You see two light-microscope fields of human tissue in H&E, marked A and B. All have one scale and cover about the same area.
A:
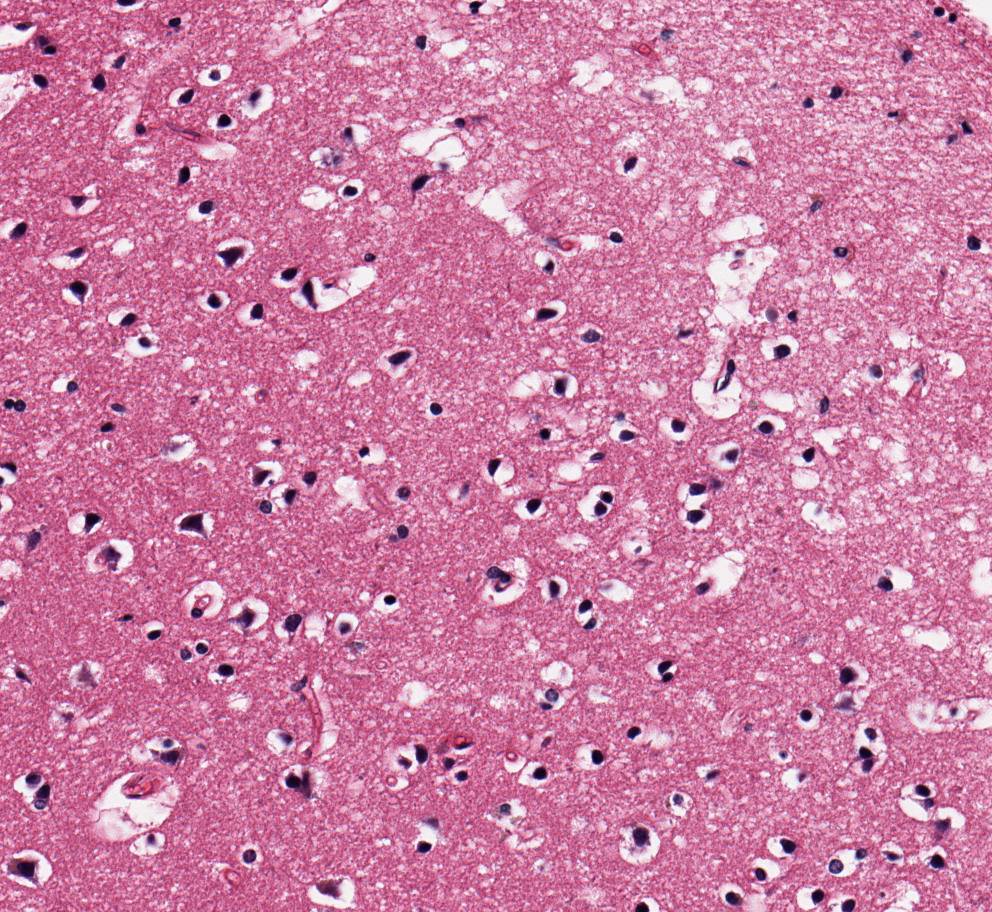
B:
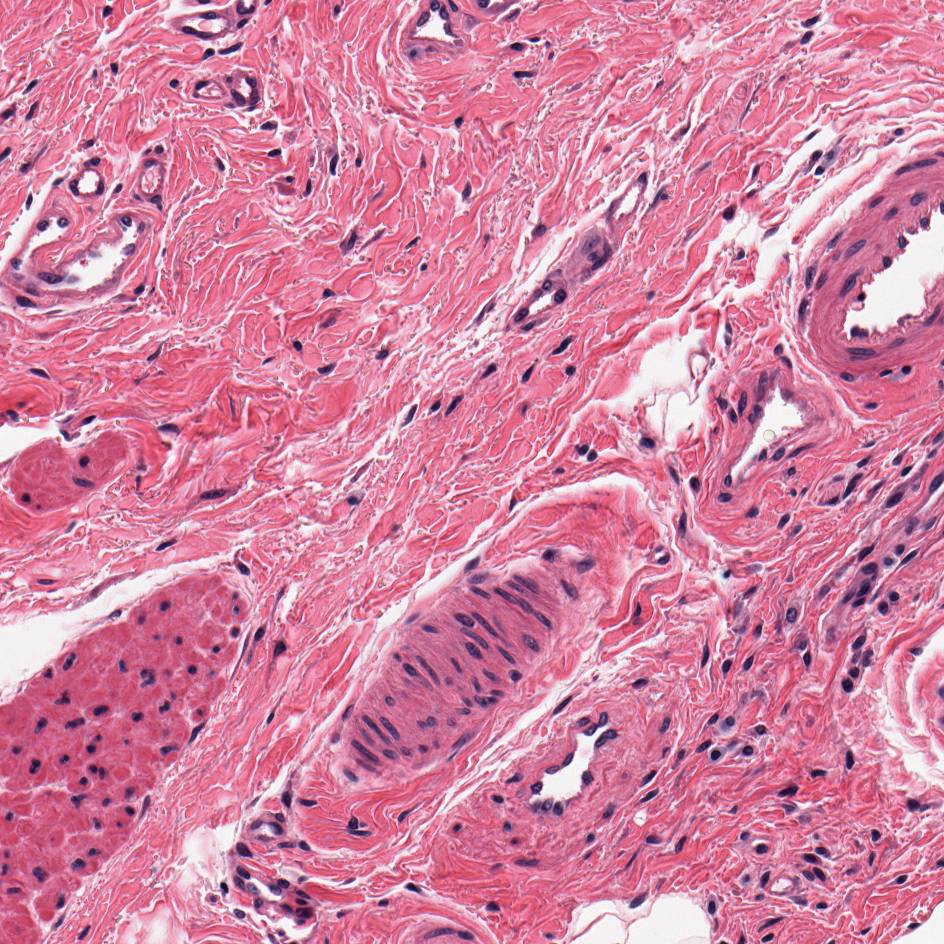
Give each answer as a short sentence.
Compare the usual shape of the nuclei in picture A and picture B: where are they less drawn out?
On the whole the nuclei of picture A are rounder than those of picture B.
